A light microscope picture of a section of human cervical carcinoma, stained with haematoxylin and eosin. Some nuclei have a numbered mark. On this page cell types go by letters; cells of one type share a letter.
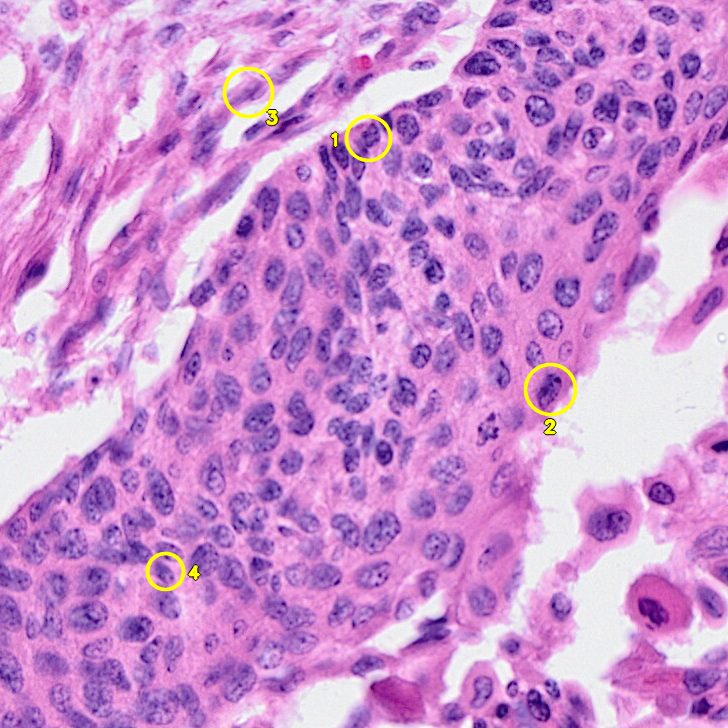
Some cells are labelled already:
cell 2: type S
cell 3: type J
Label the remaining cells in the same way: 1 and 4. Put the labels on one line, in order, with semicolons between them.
type S; type S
